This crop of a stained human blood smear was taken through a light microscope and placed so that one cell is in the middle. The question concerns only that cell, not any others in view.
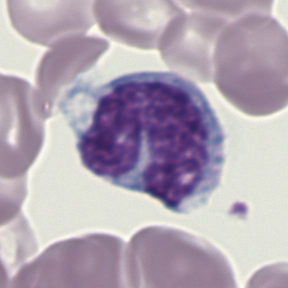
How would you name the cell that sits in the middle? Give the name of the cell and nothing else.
monocyte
